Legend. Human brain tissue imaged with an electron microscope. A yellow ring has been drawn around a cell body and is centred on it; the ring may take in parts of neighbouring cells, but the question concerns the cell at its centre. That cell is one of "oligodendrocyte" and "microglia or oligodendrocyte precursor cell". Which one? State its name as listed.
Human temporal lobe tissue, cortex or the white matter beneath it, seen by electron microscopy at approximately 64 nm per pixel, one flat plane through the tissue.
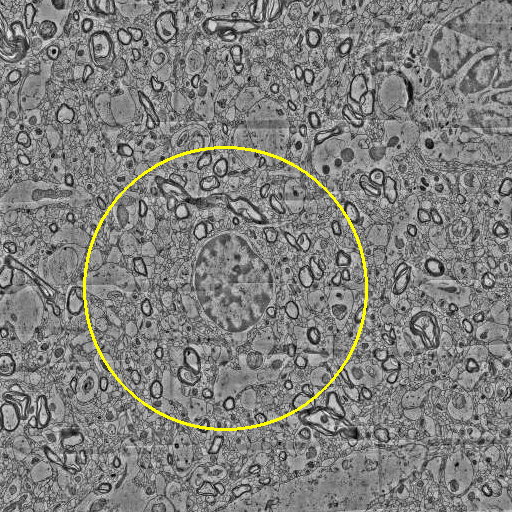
microglia or oligodendrocyte precursor cell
